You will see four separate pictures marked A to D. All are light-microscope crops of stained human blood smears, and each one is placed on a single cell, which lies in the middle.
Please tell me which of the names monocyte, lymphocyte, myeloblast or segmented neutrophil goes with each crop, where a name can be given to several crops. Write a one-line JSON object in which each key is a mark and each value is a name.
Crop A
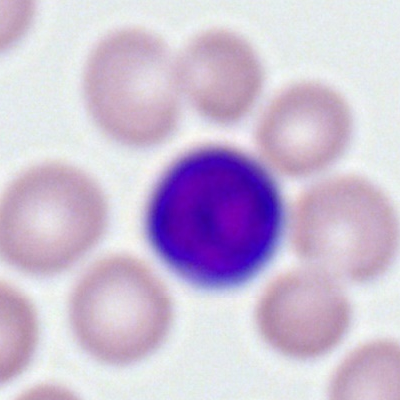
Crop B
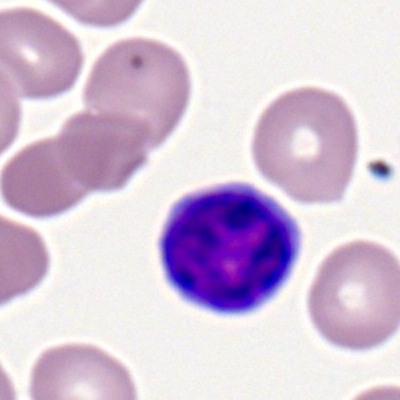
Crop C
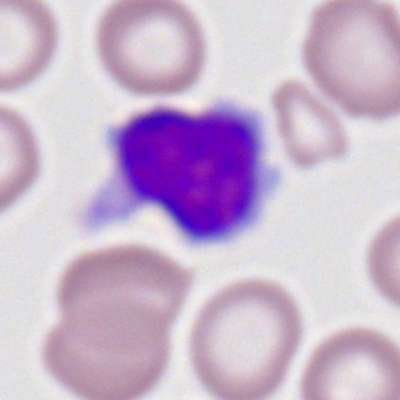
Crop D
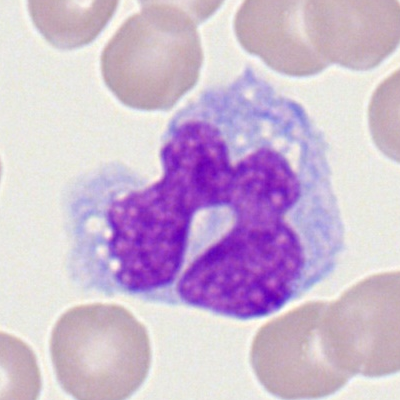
{"A": "lymphocyte", "B": "lymphocyte", "C": "lymphocyte", "D": "monocyte"}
